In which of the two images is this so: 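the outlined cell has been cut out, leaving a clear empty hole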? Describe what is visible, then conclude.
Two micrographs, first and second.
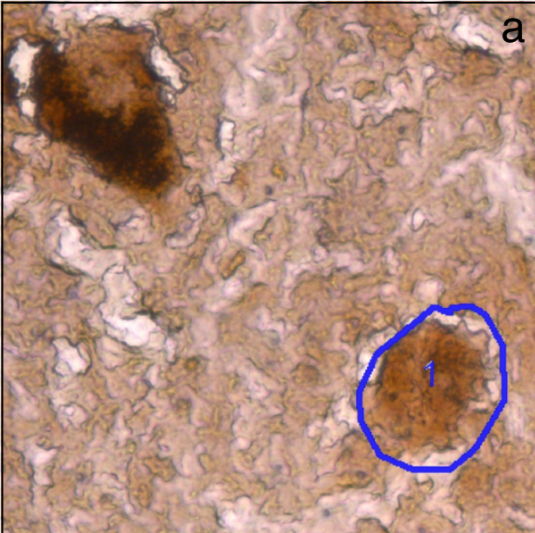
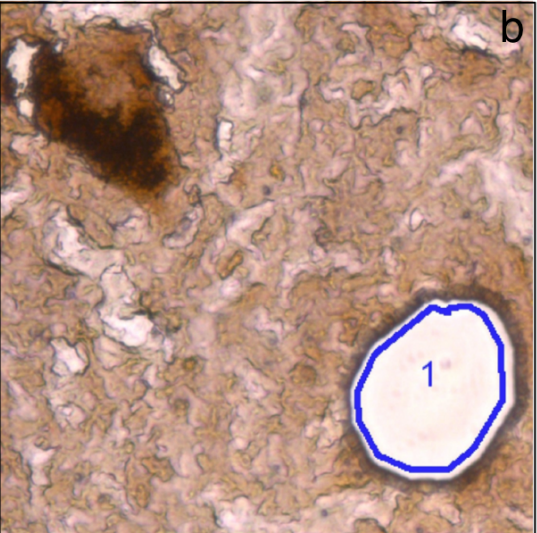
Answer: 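The second image. Second image: the area inside the blue outline is white and empty with a dark rim around it. First image: the blue outline surrounds an intact light brown cell.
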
